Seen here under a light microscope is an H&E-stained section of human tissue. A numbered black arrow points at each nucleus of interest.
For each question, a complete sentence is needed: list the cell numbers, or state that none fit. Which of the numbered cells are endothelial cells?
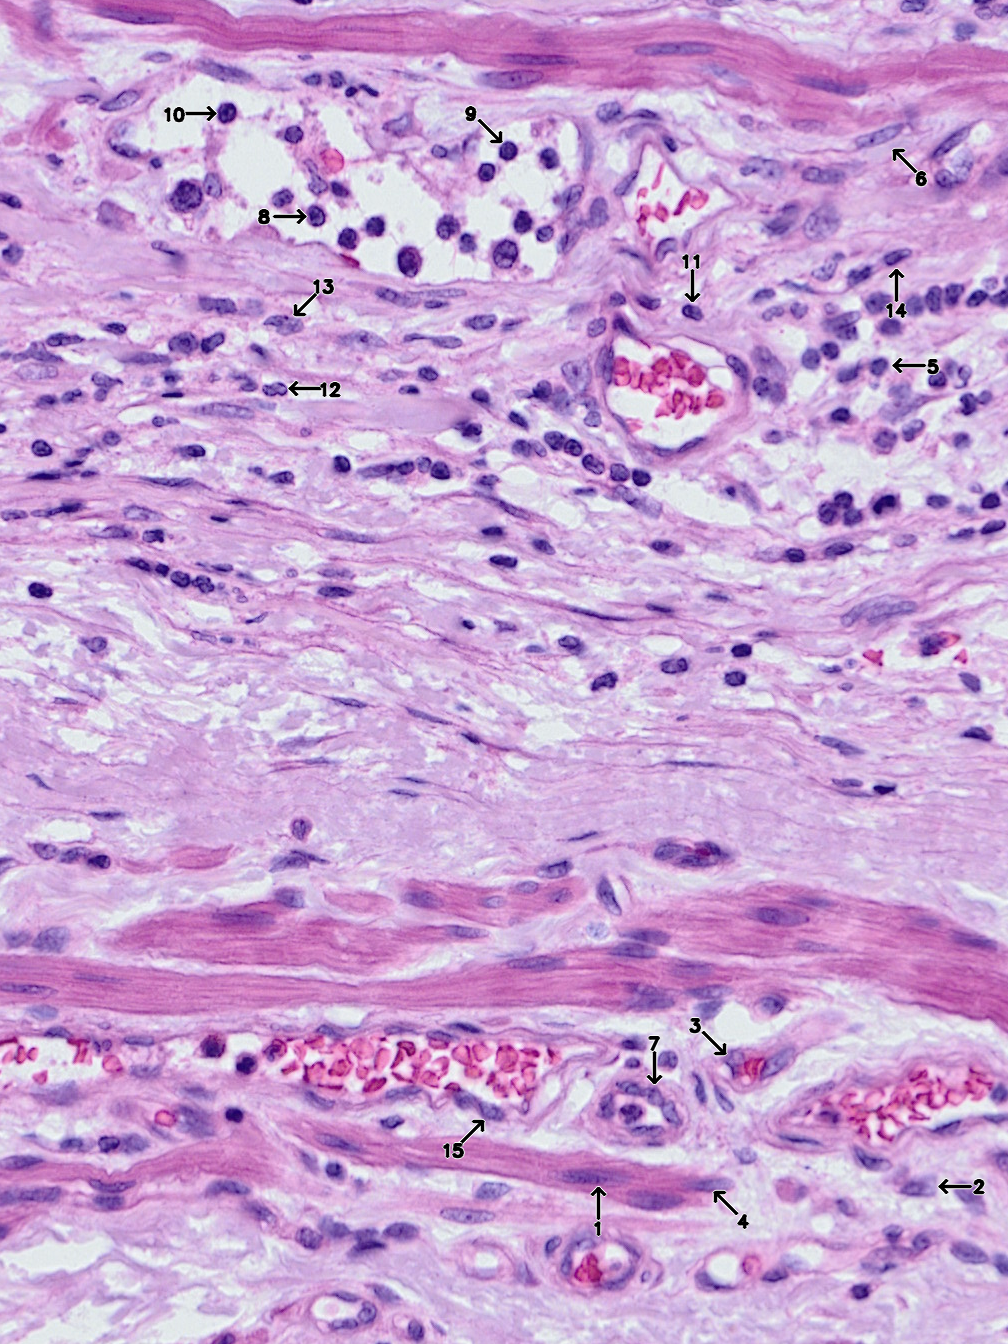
Into the category of endothelial cells fall the cells numbered 3, 7 and 15.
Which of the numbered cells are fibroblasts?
The cells marked with the numbers 2 and 6 are fibroblasts.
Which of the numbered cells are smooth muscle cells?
The cells whose numbers are 1 and 4 are smooth muscle cells.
